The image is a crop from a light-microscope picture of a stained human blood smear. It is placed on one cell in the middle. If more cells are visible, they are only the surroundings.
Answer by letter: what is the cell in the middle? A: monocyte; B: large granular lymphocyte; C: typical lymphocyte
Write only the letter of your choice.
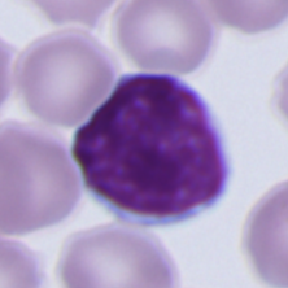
C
